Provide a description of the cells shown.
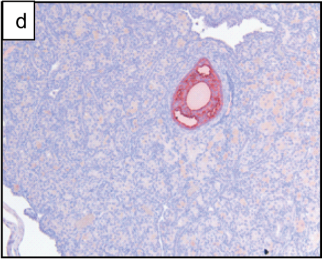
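This is ovarian tissue with one follicle whose granulosa cells are stained red. The rest of the section consists of densely packed blue-stained tissue with a faintly lobular pattern and scattered pale pink areas. No other red-stained follicles are seen in this field.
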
